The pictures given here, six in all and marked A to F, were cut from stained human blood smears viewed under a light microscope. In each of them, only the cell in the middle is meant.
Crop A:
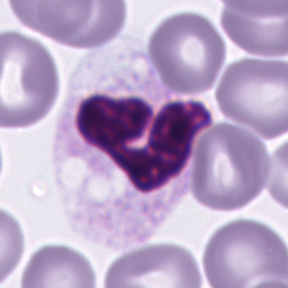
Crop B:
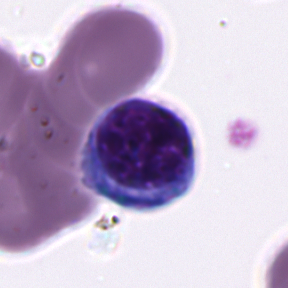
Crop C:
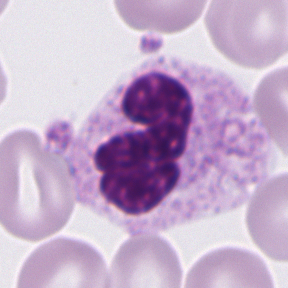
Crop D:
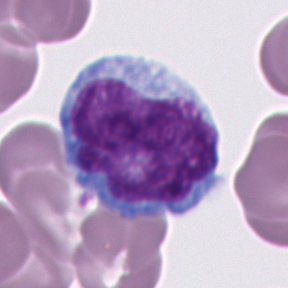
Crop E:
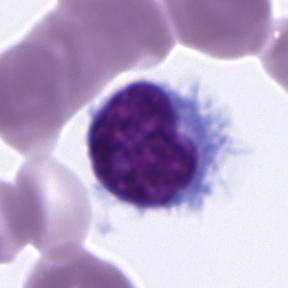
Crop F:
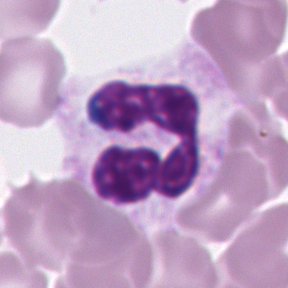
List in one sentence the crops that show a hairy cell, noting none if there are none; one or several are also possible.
Crop E is the single crop here that shows a hairy cell.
